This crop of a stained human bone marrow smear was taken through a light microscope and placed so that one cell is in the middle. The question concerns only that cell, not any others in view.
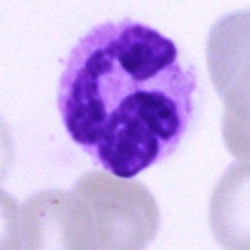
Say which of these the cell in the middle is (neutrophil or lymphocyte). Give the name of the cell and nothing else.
neutrophil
